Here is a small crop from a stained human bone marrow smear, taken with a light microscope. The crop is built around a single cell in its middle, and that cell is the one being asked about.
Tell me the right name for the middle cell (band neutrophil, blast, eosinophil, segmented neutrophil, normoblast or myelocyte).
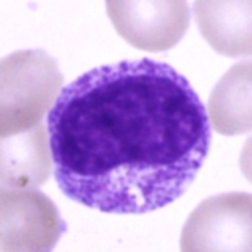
myelocyte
